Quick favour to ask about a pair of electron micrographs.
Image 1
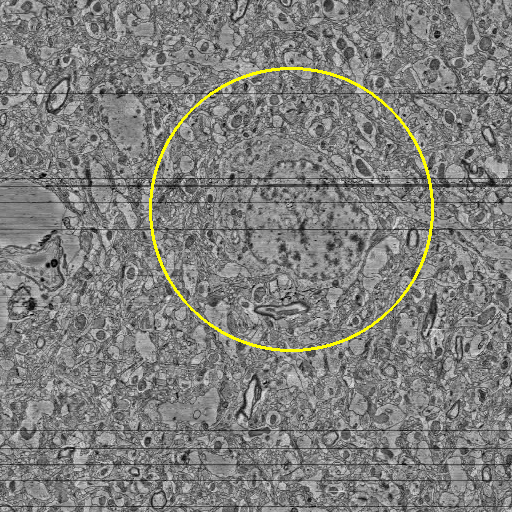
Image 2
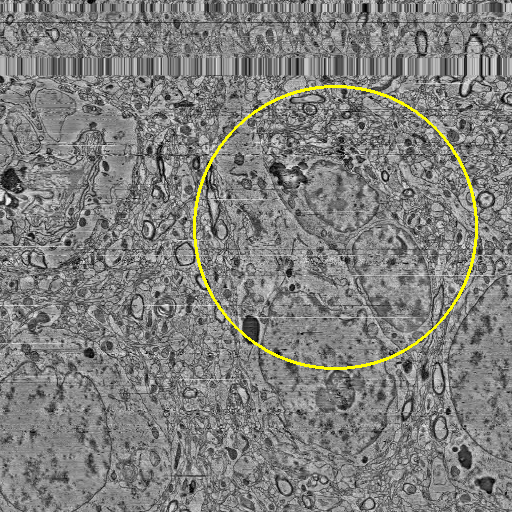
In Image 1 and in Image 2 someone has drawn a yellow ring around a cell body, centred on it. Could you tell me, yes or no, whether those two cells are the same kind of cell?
no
